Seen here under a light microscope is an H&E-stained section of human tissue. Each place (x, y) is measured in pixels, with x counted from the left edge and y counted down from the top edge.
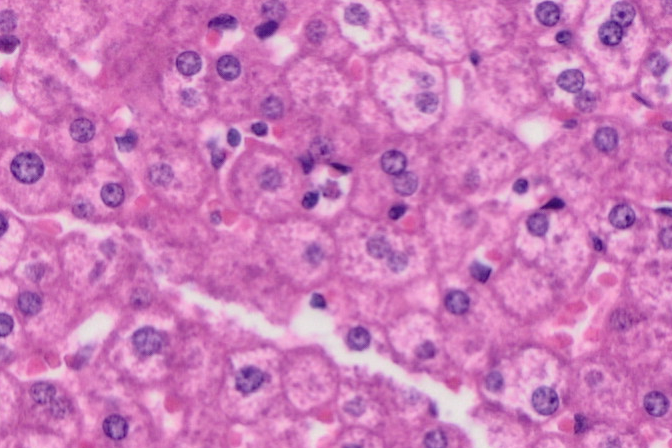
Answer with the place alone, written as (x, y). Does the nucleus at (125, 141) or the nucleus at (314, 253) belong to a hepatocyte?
(314, 253)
